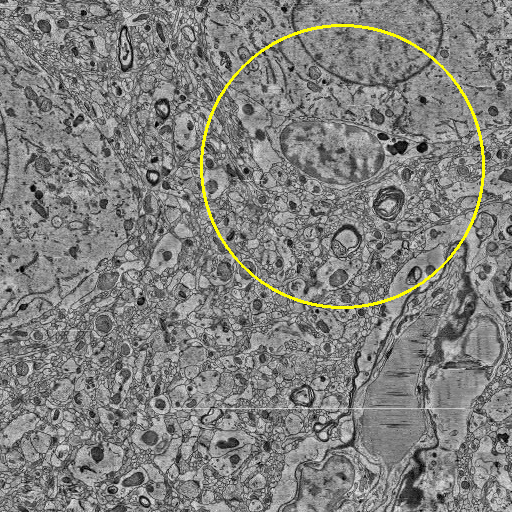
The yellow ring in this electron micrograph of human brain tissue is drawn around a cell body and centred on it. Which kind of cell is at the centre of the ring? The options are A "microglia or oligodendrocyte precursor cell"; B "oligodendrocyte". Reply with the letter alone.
A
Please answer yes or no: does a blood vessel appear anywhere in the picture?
Yes, a blood vessel is present in this picture.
